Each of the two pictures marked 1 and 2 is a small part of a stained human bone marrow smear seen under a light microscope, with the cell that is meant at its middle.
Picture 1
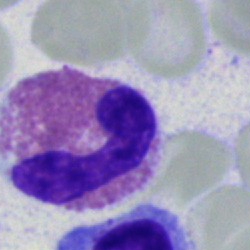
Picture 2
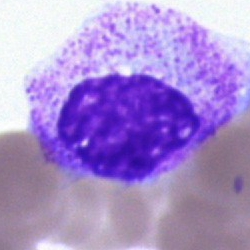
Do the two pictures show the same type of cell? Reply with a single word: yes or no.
no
